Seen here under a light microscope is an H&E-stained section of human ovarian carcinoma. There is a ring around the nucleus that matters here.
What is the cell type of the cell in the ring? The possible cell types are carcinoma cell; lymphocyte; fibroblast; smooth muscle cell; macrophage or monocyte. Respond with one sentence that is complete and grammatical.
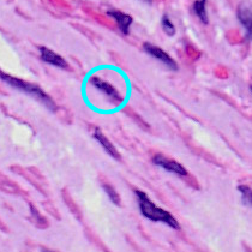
To be brief about it, the cell in the ring is a fibroblast.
